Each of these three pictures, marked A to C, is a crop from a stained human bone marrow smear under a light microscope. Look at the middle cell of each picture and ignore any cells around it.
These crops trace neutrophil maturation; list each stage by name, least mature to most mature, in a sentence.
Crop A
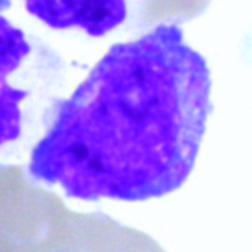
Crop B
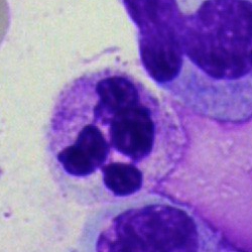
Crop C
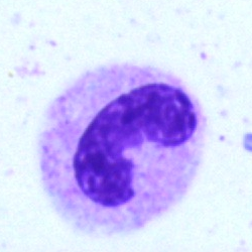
The sequence in which maturity rises is crop A (a promyelocyte), crop C (a band neutrophil) and crop B (a segmented neutrophil).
